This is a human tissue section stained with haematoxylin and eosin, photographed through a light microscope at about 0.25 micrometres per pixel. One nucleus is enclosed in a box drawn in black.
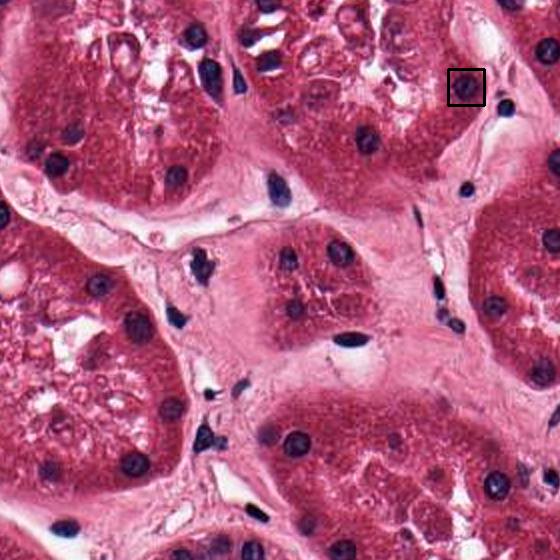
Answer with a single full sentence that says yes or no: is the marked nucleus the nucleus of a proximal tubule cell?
Yes, the nucleus bearing the mark is that of a proximal tubule cell.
